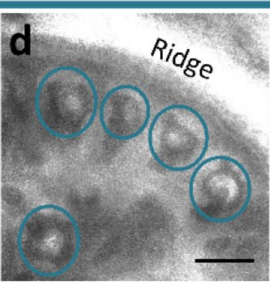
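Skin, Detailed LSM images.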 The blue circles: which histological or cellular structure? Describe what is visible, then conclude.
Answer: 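Each circle holds a rounded body with a bright centre.
Conclusion: Meissner corpuscles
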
